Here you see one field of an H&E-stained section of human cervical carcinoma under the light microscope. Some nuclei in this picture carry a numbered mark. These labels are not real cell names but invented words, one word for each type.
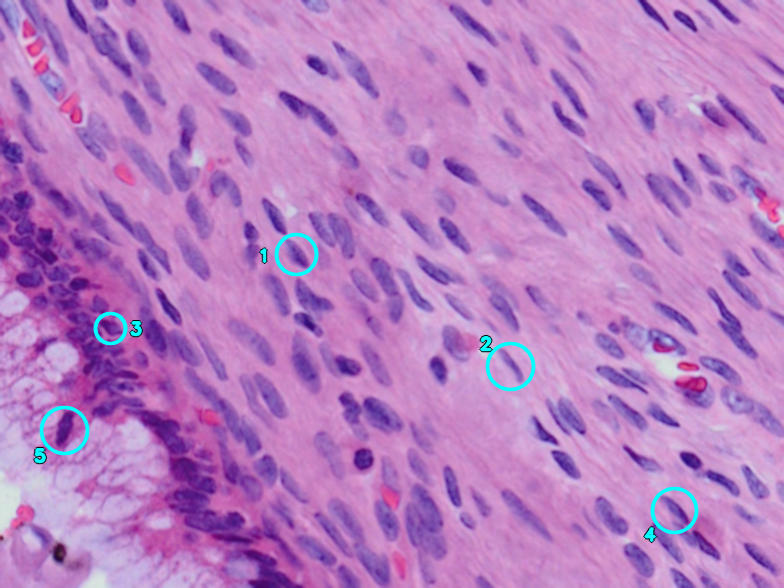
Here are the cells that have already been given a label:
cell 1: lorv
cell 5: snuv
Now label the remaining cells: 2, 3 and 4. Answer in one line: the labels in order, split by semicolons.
lorv; snuv; lorv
